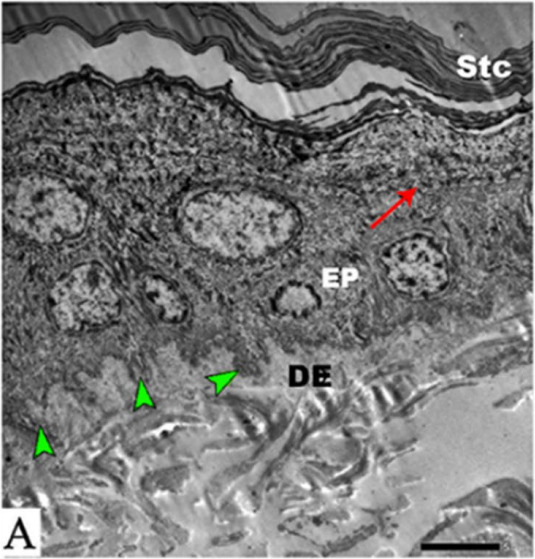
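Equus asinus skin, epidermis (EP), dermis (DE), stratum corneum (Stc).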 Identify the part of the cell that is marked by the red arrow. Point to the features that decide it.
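The arrow points into dark granular cytoplasm of the upper cell layer. This layer lies just beneath the wavy lamellar layer at the top. That points to this answer: granules of keratohyalin.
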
